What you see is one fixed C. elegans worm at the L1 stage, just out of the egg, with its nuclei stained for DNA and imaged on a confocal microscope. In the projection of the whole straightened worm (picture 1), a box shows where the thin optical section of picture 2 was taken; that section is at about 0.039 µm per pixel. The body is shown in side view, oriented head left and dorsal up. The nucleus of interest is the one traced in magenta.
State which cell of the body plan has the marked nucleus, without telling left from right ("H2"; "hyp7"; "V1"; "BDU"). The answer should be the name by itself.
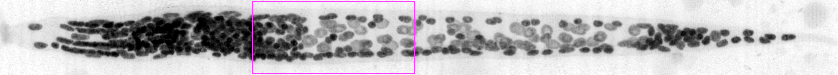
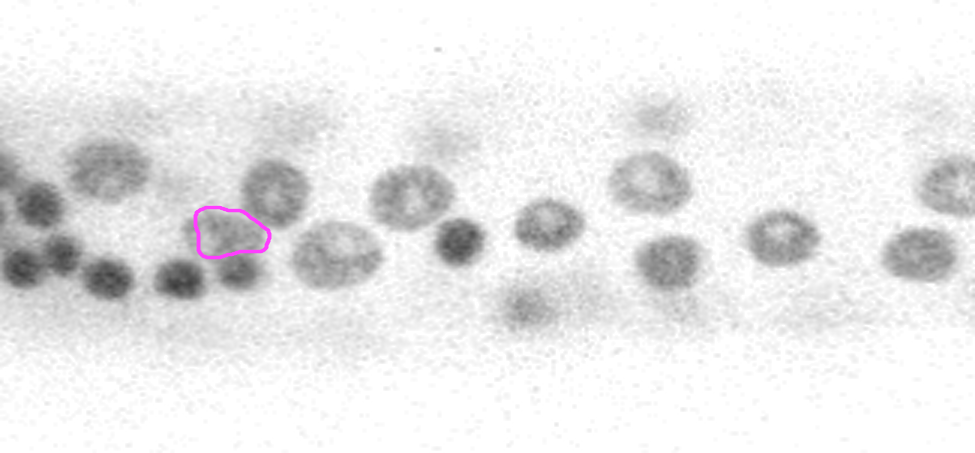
H2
